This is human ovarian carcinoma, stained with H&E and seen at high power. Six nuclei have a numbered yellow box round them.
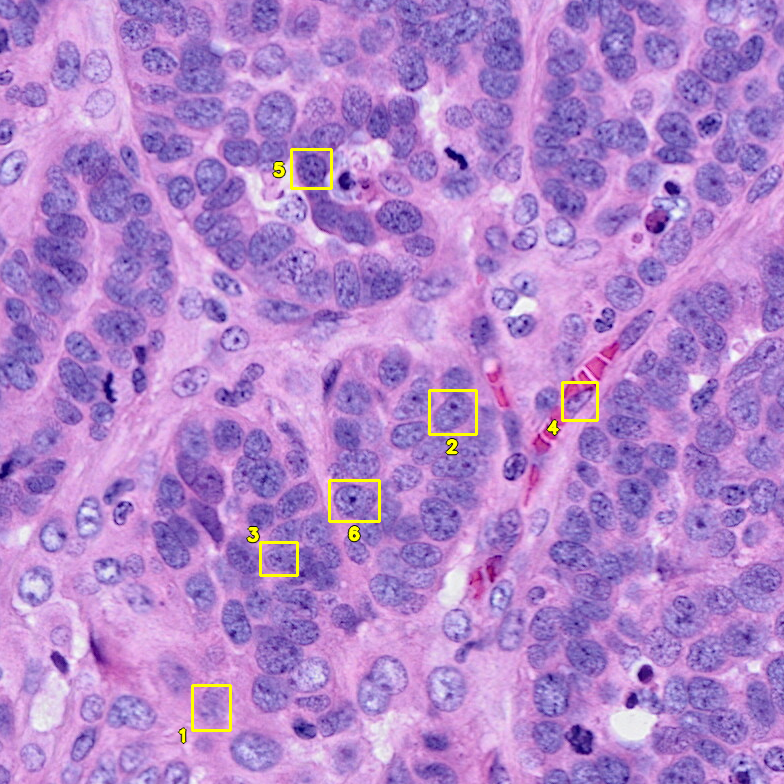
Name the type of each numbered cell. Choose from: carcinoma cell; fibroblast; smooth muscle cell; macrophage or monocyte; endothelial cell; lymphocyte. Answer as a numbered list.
1. fibroblast
2. carcinoma cell
3. carcinoma cell
4. endothelial cell
5. carcinoma cell
6. carcinoma cell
